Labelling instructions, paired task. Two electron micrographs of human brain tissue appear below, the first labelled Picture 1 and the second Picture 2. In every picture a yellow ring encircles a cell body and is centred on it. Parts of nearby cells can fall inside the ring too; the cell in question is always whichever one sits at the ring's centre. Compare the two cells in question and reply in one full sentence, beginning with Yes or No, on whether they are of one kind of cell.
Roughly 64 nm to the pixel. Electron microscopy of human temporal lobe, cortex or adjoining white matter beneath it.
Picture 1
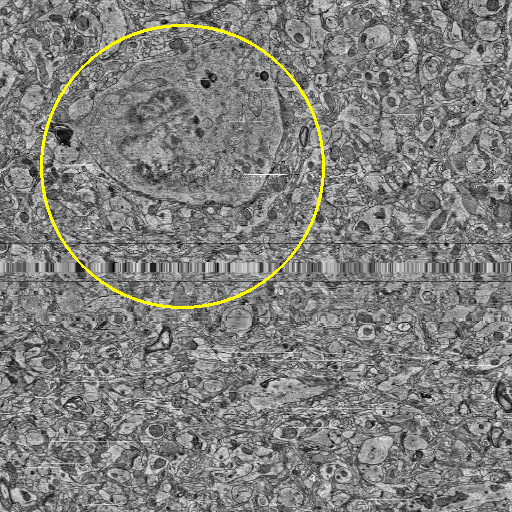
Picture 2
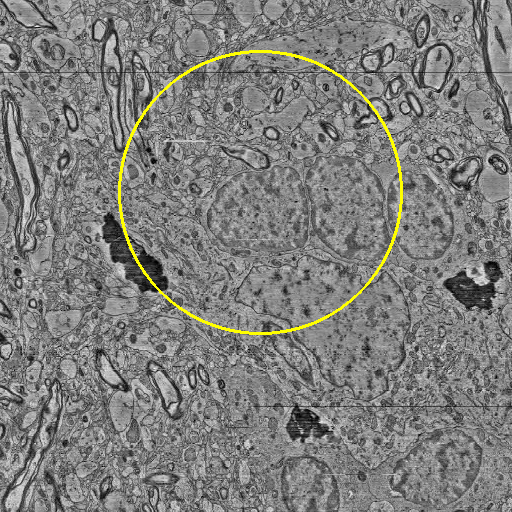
No, the two cells at the ring centres in Picture 1 and Picture 2 are of two kinds.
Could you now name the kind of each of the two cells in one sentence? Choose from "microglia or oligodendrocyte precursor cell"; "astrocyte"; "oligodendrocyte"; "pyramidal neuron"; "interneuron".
The first ring encloses an interneuron; the second ring encloses an oligodendrocyte.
